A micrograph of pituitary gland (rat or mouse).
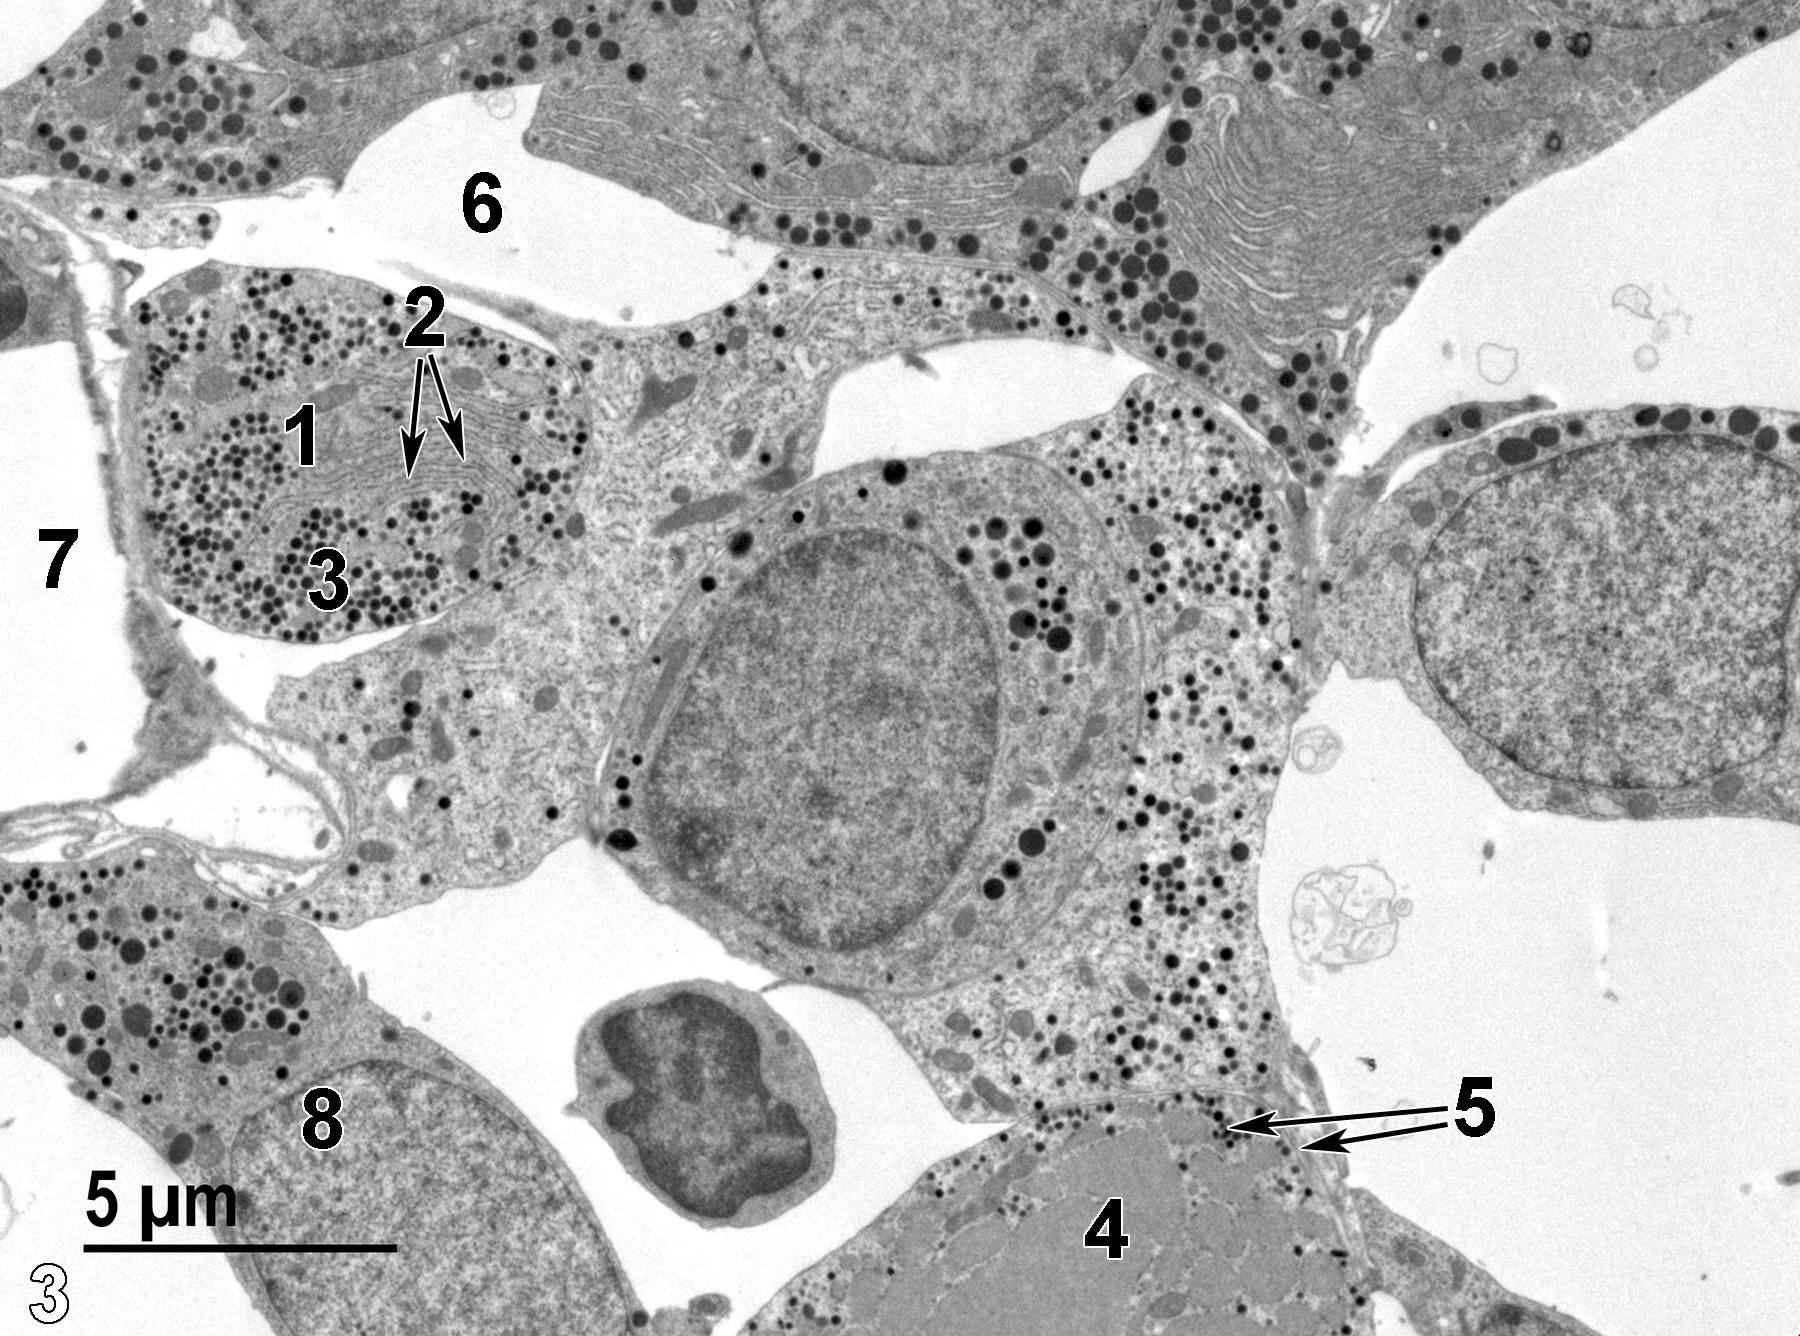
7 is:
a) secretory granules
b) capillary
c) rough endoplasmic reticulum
b) capillary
